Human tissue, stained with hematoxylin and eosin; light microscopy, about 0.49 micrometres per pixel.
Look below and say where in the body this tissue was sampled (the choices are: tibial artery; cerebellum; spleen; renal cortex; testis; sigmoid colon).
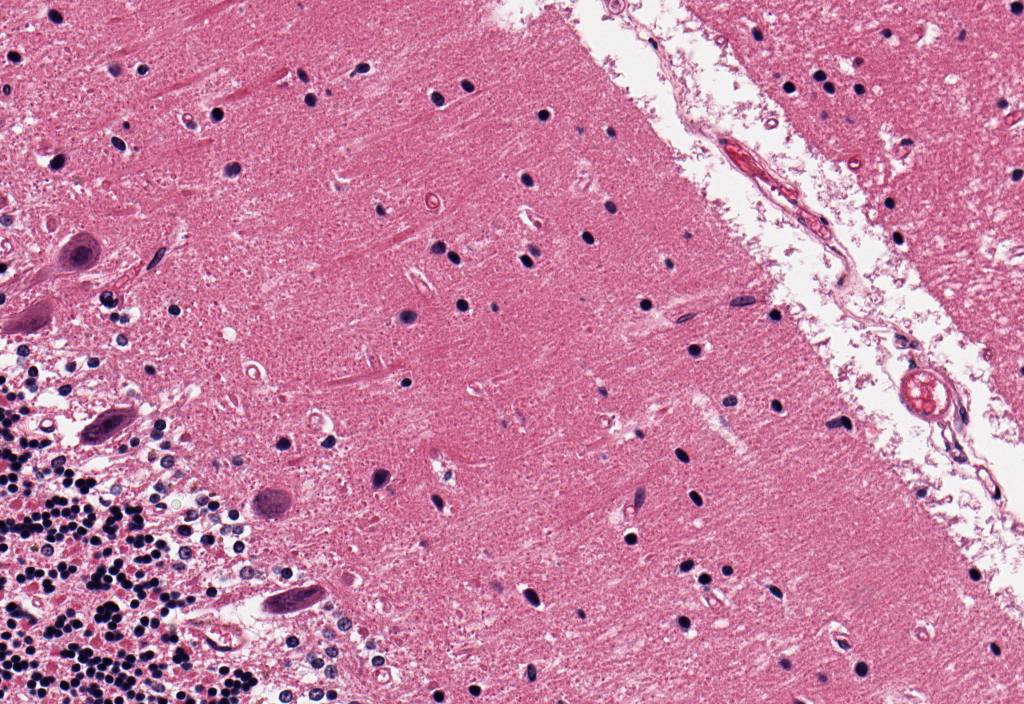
cerebellum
